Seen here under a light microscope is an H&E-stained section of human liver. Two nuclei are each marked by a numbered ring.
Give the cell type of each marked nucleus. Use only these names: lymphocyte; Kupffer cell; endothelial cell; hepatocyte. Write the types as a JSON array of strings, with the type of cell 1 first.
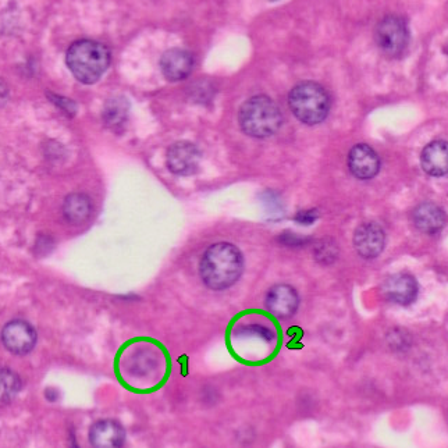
["hepatocyte", "endothelial cell"]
